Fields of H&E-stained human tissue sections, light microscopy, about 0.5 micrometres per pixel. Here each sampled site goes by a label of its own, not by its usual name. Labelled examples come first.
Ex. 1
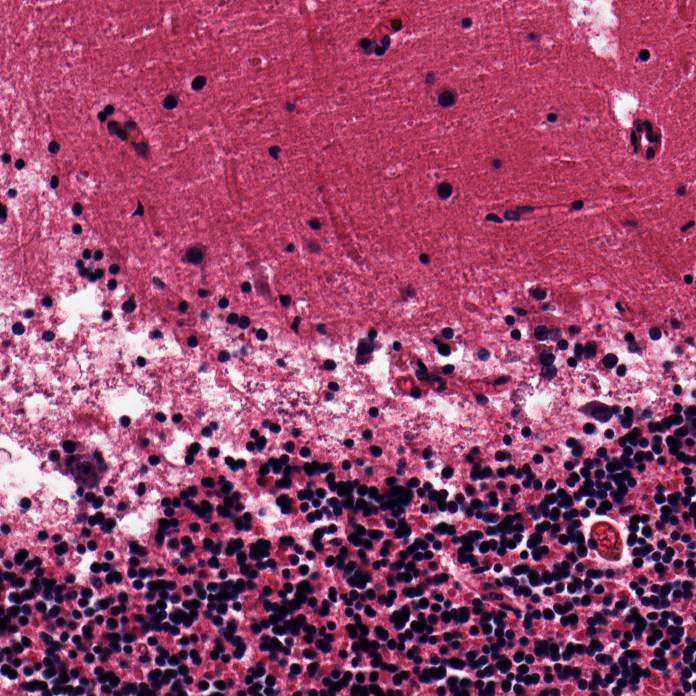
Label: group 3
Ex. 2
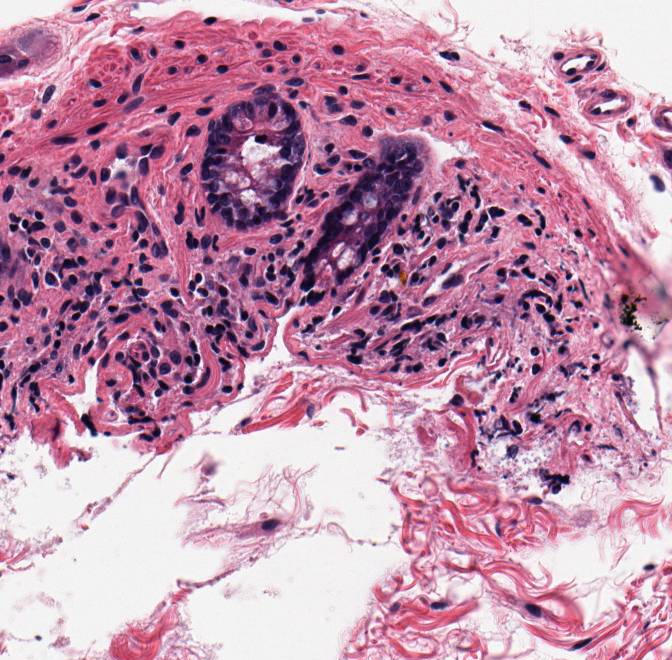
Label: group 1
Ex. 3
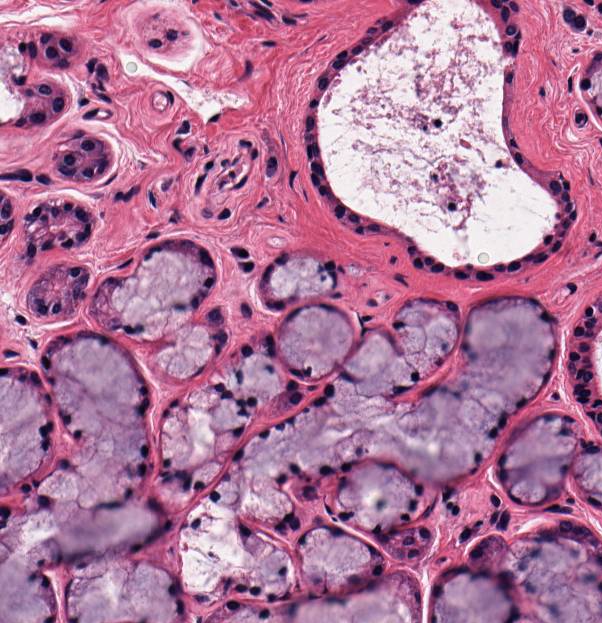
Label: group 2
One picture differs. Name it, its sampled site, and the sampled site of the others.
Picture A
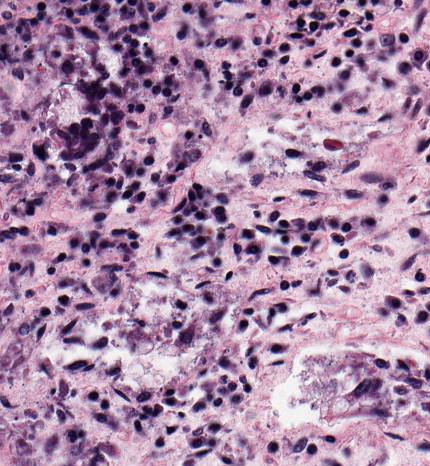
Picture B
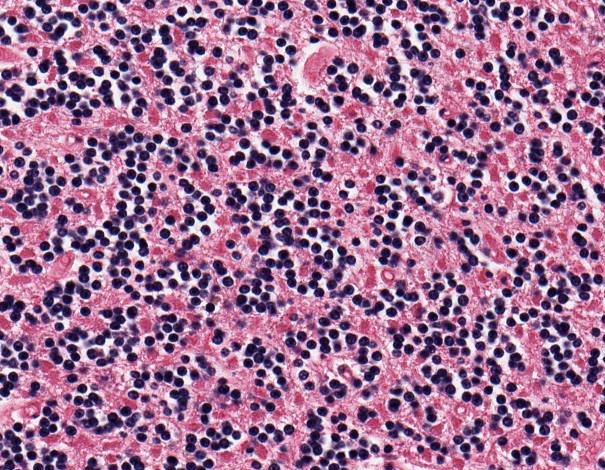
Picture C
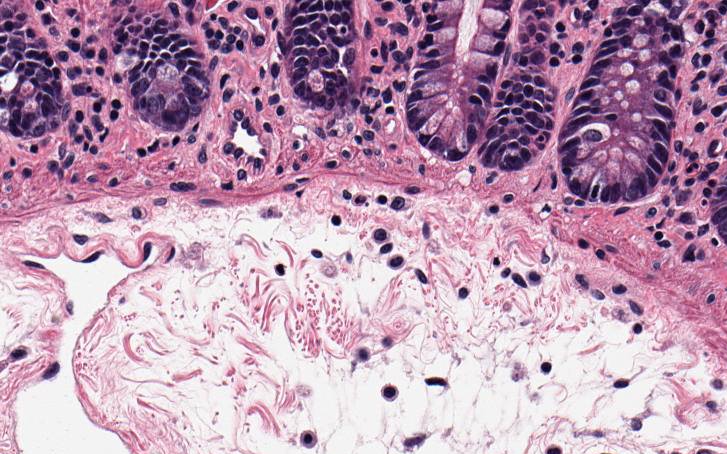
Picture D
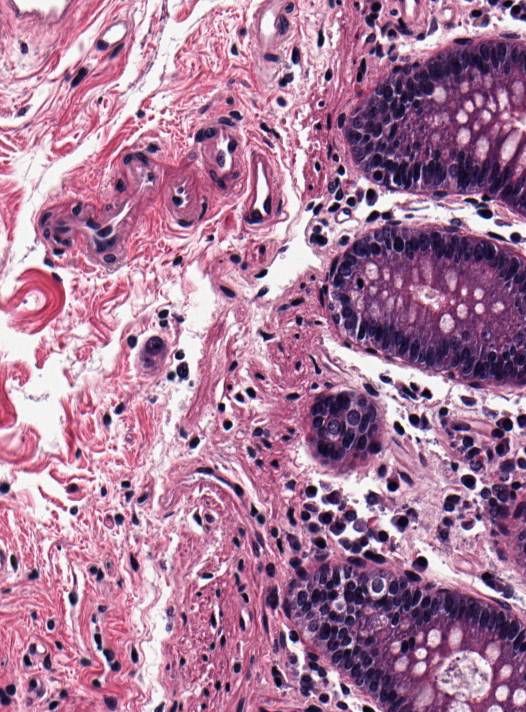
Picture B: group 3. All others: group 1.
